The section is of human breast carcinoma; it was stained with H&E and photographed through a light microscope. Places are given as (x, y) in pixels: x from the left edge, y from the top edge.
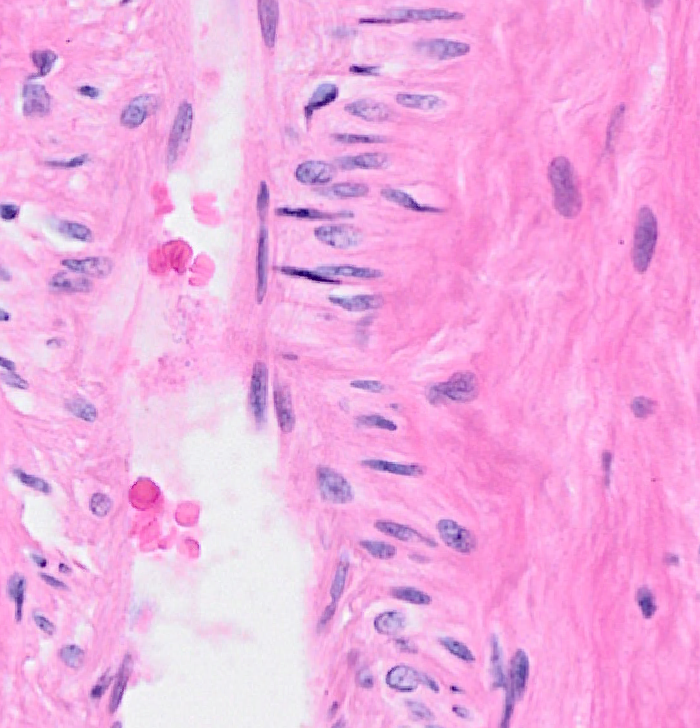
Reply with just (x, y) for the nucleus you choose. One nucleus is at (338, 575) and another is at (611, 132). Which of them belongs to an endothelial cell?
(338, 575)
